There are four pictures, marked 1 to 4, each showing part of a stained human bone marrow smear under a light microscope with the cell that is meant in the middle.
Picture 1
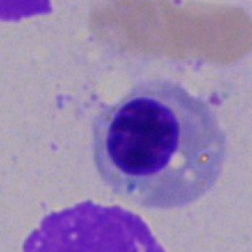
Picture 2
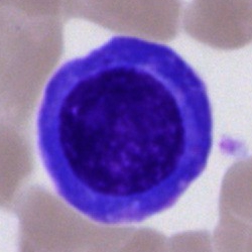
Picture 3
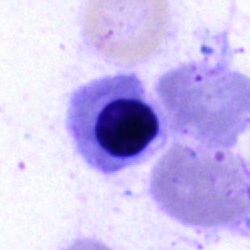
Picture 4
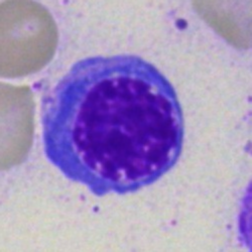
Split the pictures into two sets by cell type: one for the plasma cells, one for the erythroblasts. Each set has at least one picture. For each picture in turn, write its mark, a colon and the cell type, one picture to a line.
1: erythroblast
2: plasma cell
3: erythroblast
4: erythroblast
